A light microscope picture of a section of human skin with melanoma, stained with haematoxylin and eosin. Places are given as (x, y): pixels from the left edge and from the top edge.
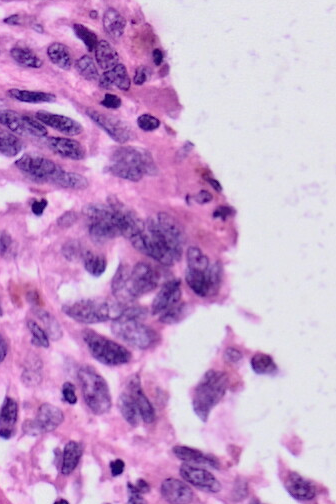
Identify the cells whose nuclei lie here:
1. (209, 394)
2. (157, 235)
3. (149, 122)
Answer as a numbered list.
1. melanoma cell
2. melanoma cell
3. lymphocyte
